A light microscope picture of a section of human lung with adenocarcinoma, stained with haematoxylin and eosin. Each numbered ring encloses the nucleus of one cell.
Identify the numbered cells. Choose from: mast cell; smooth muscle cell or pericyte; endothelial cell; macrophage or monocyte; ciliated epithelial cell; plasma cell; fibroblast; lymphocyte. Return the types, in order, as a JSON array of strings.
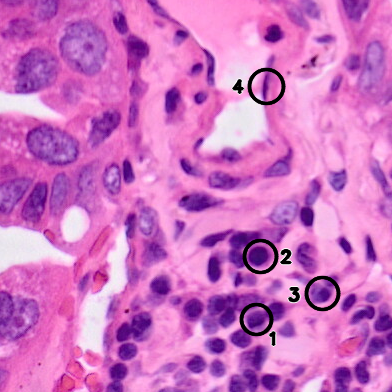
["lymphocyte", "lymphocyte", "lymphocyte", "endothelial cell"]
